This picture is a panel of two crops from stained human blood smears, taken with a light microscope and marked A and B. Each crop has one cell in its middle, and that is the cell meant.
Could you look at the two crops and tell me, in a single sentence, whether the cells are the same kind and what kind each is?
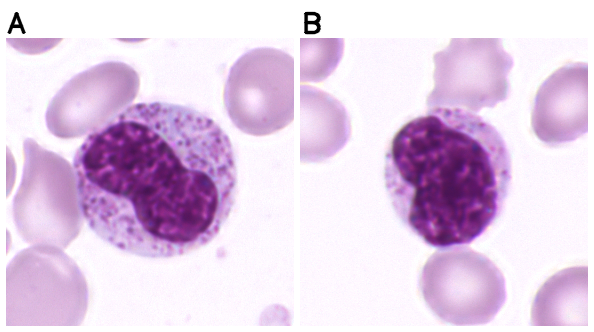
No, a band neutrophil lies at the centre of crop A, and a metamyelocyte lies at the centre of crop B.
